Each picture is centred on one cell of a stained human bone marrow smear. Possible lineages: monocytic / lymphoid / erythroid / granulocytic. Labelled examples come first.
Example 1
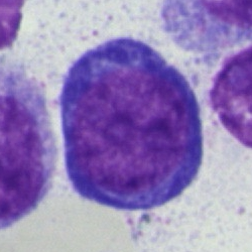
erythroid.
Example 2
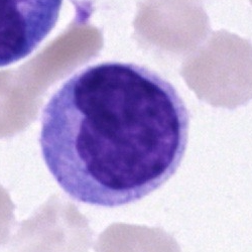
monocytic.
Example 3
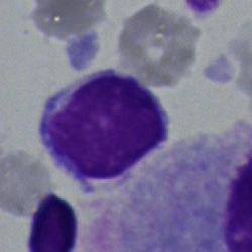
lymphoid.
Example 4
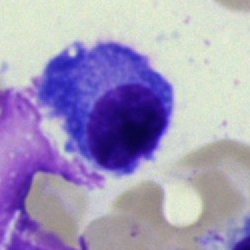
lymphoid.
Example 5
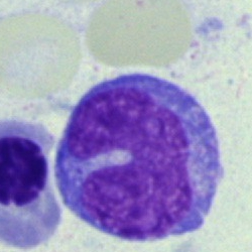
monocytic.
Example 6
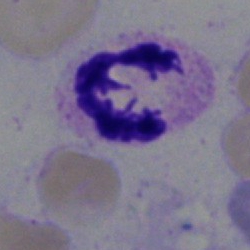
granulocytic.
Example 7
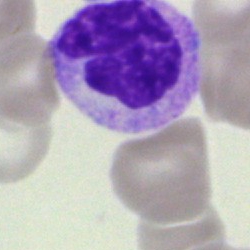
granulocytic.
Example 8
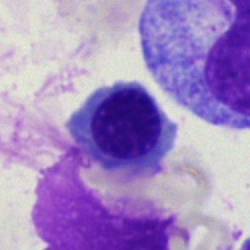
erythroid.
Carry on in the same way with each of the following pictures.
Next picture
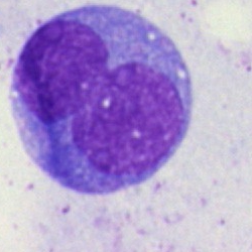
monocytic.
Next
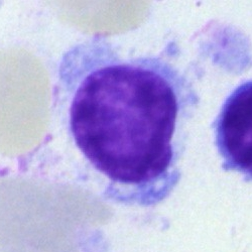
lymphoid.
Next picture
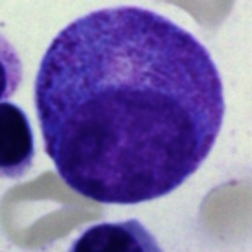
granulocytic.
